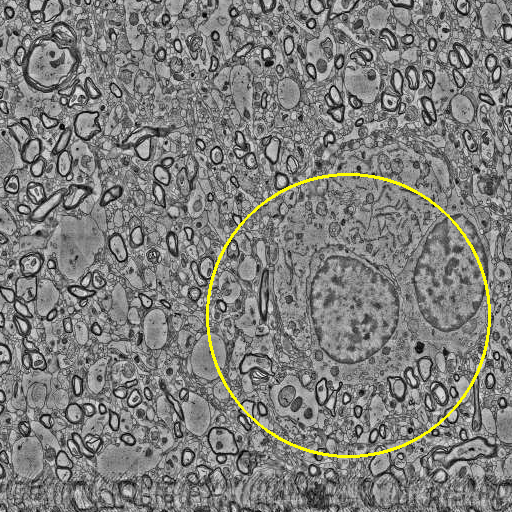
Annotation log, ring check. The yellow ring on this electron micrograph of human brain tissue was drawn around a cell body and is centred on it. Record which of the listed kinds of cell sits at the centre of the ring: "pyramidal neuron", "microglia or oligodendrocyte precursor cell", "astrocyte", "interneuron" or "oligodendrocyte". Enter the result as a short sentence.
The cell at the centre of the ring is an oligodendrocyte.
